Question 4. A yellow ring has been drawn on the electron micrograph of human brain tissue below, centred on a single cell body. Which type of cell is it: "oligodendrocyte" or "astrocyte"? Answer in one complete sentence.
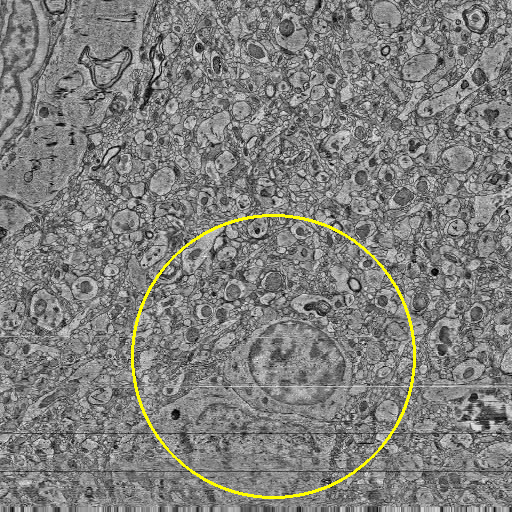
This cell body belongs to an oligodendrocyte.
